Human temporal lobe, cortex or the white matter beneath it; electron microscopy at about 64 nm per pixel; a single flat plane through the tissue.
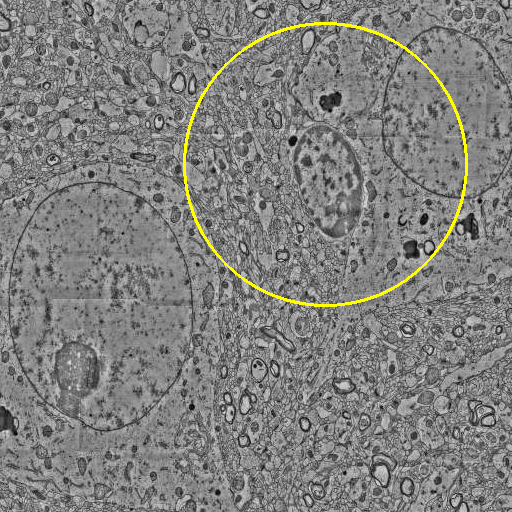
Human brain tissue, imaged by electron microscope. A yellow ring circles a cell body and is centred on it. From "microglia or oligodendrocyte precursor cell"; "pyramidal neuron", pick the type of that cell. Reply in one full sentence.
The cell body at the centre of the yellow ring belongs to a microglial cell or oligodendrocyte precursor cell.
